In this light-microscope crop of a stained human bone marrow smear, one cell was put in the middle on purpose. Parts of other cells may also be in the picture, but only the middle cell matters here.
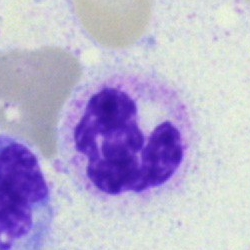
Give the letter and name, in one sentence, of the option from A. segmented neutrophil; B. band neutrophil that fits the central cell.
Option A stands as correct, the central cell being a segmented neutrophil.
